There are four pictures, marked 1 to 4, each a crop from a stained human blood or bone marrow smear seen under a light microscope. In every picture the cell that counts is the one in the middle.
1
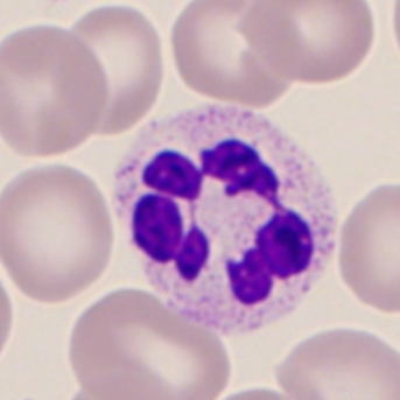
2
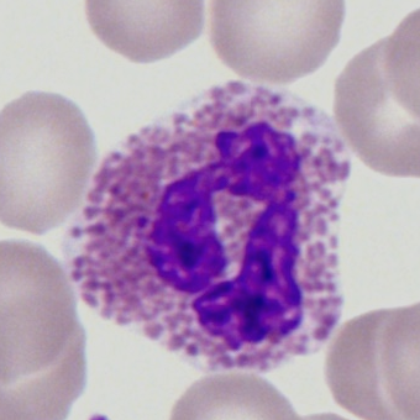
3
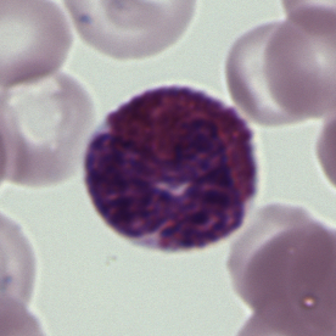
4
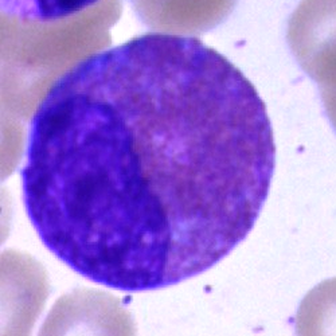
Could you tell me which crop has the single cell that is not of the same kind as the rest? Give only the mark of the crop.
1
